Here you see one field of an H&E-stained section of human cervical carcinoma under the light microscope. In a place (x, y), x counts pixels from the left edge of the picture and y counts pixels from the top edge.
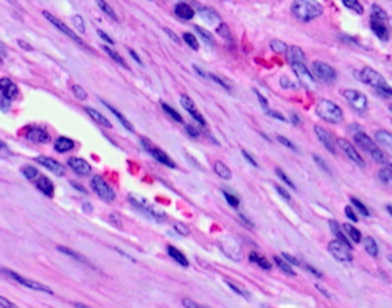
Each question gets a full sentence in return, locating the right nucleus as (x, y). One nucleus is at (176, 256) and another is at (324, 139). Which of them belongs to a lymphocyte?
The nucleus whose cell is a lymphocyte is the one at (176, 256).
